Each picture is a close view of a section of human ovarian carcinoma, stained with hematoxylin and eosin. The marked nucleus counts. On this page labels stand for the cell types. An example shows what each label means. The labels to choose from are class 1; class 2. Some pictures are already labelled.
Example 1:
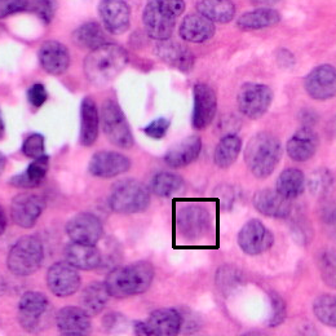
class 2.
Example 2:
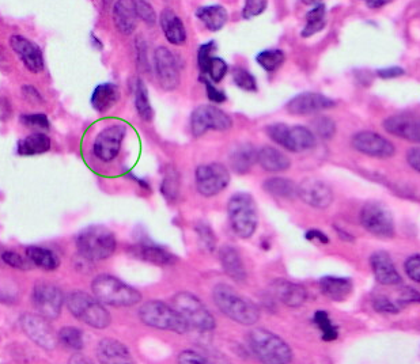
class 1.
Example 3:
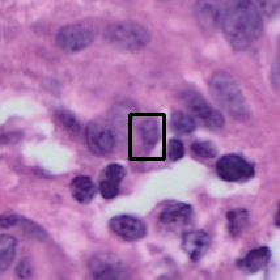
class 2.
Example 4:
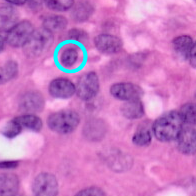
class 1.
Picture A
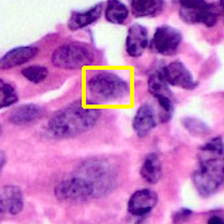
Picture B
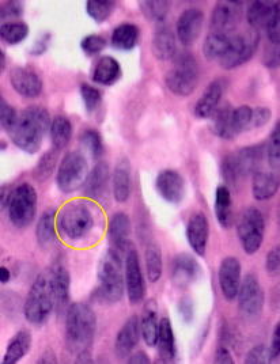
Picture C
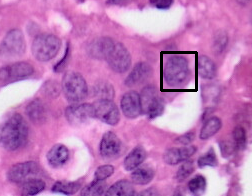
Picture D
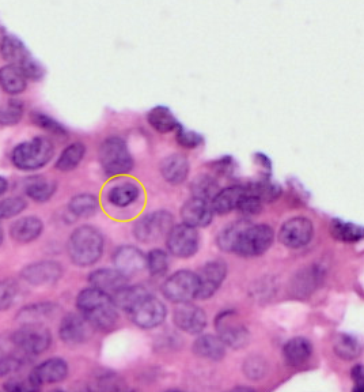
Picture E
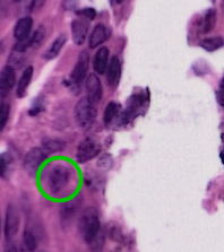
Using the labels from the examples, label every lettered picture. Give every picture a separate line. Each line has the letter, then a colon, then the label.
A: class 2.
B: class 1.
C: class 2.
D: class 1.
E: class 2.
